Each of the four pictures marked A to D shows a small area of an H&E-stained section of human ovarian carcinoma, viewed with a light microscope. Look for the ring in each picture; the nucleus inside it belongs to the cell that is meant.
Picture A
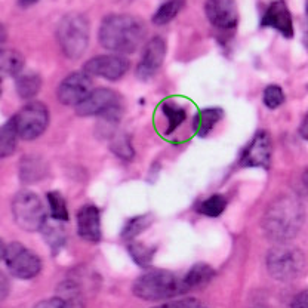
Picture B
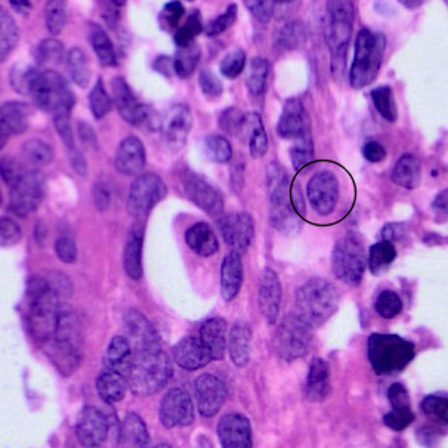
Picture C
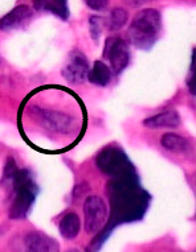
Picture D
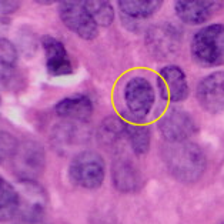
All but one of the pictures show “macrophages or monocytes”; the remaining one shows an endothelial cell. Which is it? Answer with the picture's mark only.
C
